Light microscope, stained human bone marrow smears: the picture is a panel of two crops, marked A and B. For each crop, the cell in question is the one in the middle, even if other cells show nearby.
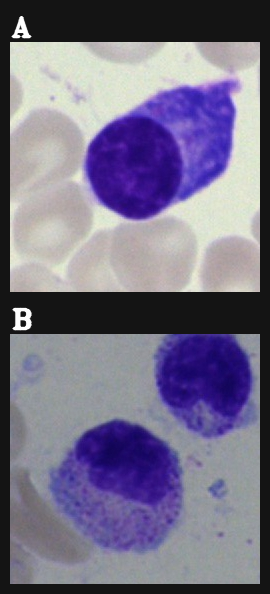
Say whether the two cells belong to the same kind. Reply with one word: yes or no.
no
